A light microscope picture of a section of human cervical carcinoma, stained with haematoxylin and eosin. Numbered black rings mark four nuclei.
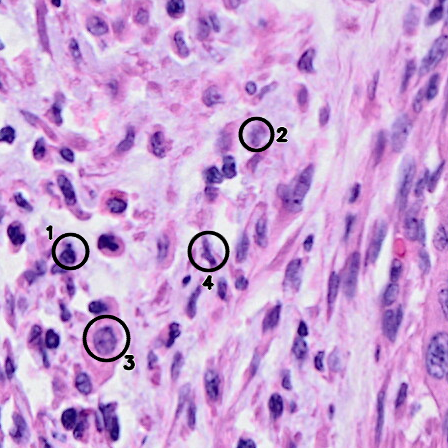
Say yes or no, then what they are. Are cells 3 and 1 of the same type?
No, cell 3 is a macrophage or monocyte and cell 1 is a lymphocyte.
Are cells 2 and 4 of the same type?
Yes, both are fibroblasts.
